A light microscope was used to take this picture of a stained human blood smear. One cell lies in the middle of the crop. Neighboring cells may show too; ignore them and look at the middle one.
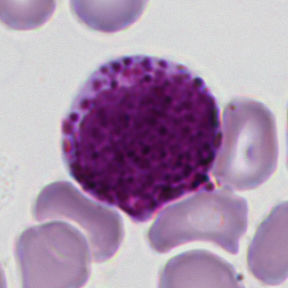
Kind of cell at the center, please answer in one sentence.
The cell featured at the centre of this crop is a basophil.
